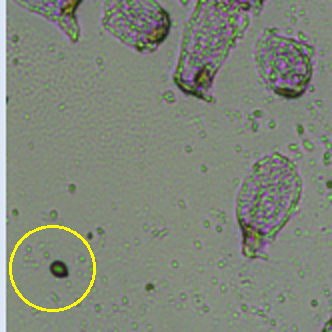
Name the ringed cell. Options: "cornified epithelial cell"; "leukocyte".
leukocyte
